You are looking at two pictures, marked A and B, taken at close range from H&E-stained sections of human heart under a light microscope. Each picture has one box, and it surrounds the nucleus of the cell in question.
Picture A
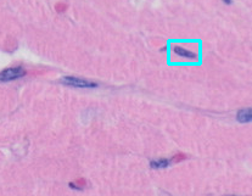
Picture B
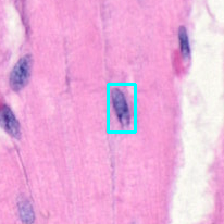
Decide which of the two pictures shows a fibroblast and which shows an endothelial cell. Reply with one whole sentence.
Picture A is of a fibroblast, and picture B is of an endothelial cell.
